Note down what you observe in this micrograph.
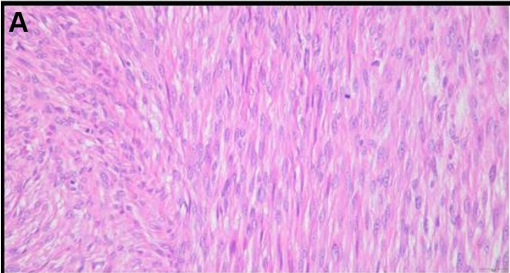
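Spindle-shaped cells packed in streaming fascicles, their elongated oval to cigar-shaped purple nuclei aligned along the long axis of the cells. Cytoplasm is pink and the boundaries between neighbouring cells are indistinct, the cells merging into a pink matrix. Nuclei vary somewhat in size and density.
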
